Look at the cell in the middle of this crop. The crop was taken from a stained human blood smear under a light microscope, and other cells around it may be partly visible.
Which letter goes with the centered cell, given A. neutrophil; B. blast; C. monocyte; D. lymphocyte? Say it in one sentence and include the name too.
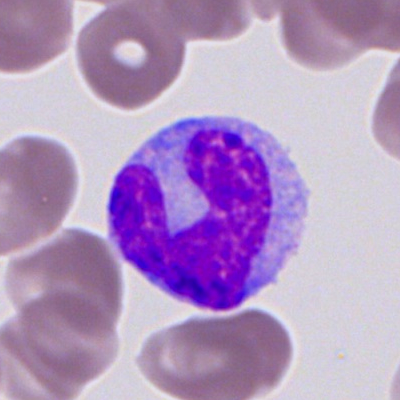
Option C, which names the central cell as a monocyte, is correct.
